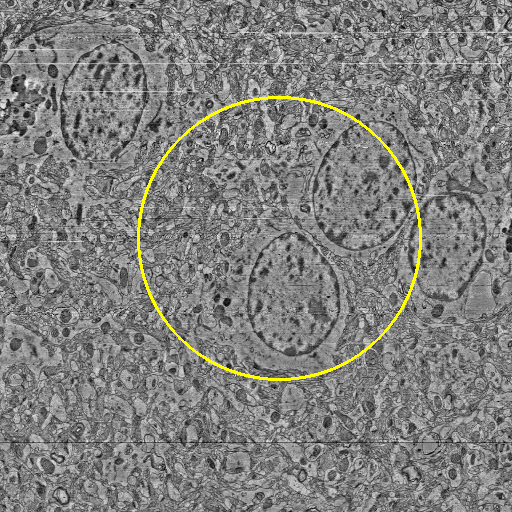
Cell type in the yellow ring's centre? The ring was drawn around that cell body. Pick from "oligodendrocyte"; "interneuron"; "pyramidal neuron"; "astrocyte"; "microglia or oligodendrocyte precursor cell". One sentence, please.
The ringed cell body is that of an astrocyte.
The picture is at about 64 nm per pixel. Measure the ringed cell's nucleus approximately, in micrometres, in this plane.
In this plane, about 8 micrometres in length and 6 in width.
